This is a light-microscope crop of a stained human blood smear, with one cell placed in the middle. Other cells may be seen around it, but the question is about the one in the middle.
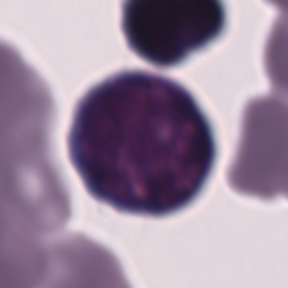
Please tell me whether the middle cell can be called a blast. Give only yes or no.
yes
